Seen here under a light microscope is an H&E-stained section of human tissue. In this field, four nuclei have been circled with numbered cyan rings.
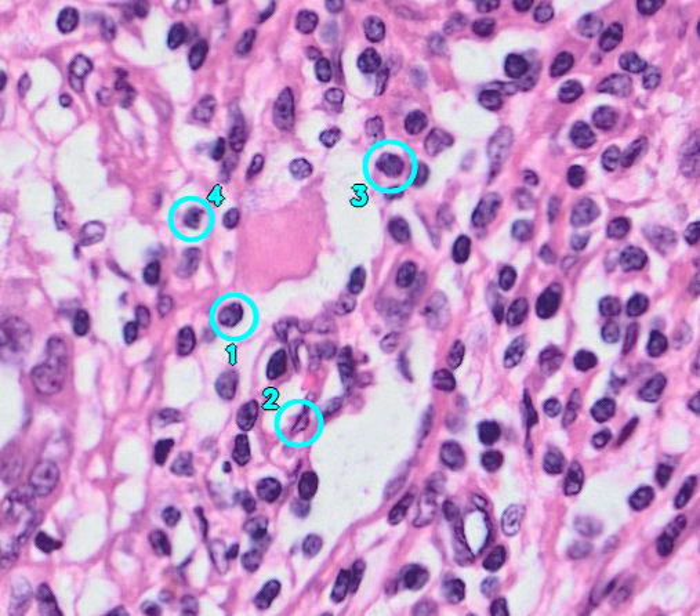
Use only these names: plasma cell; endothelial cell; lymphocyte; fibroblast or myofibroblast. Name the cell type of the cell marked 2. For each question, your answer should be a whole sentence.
In the marked set, the cell given number 2 is an endothelial cell.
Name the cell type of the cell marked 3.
As for number 3, that cell is a lymphocyte.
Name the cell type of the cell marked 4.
The cell marked with number 4 is a lymphocyte.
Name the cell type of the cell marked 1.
Identified as a lymphocyte is the cell bearing the number 1.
